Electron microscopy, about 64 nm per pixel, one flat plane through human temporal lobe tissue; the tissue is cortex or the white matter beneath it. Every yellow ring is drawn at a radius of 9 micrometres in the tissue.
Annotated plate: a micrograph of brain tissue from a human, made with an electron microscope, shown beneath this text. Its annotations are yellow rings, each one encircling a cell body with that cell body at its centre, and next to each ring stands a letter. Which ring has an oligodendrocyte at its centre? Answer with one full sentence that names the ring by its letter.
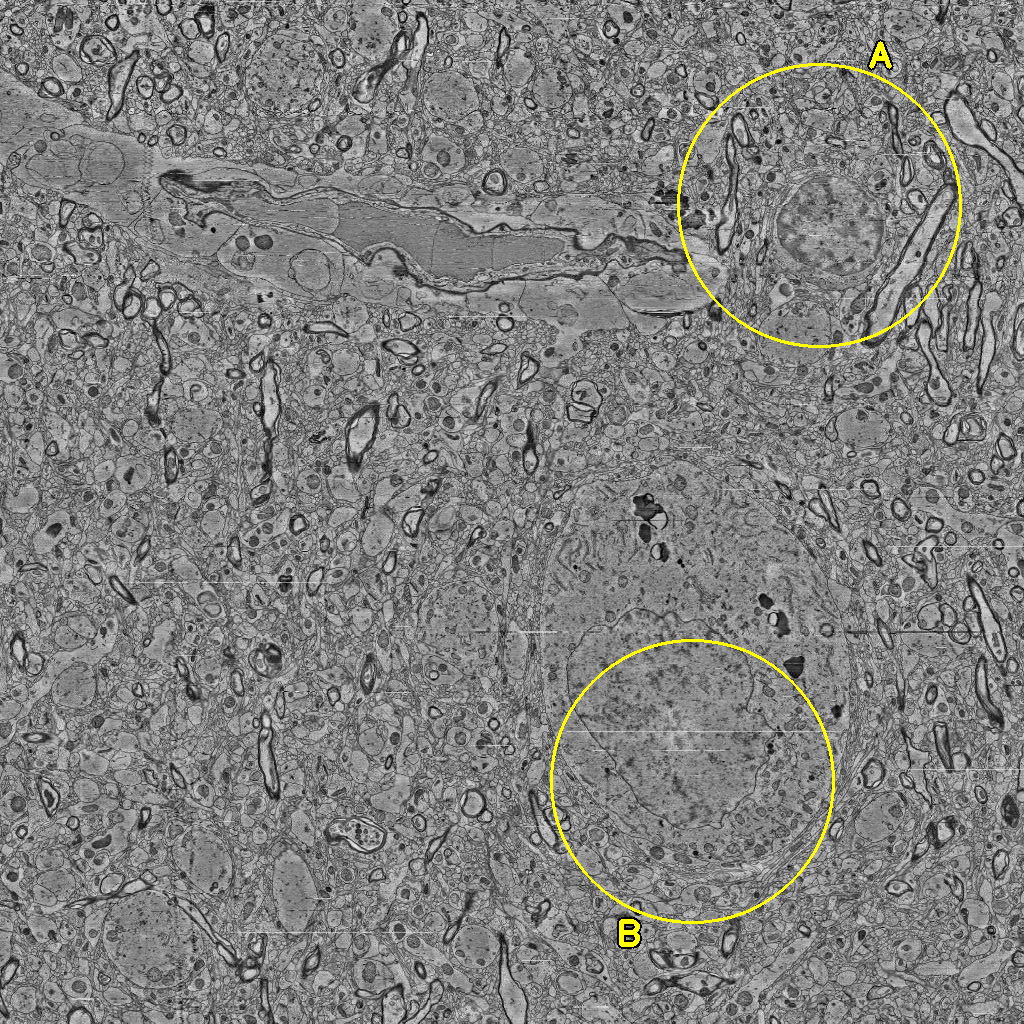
In the plate, ring A is the one centred on a cell of that kind.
